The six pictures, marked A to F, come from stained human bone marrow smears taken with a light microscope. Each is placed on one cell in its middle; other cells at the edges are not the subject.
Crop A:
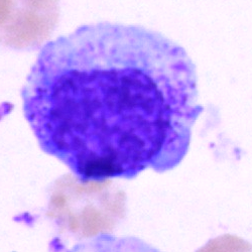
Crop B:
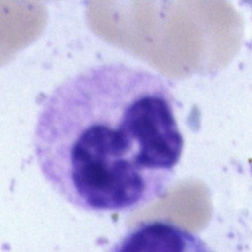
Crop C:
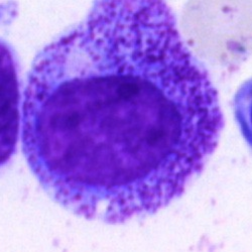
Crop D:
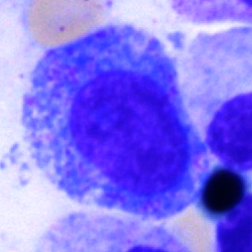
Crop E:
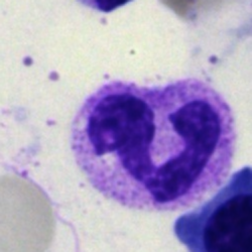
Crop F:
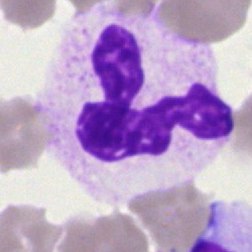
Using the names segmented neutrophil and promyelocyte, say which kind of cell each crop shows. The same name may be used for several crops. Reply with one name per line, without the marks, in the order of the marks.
promyelocyte
segmented neutrophil
promyelocyte
promyelocyte
segmented neutrophil
segmented neutrophil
